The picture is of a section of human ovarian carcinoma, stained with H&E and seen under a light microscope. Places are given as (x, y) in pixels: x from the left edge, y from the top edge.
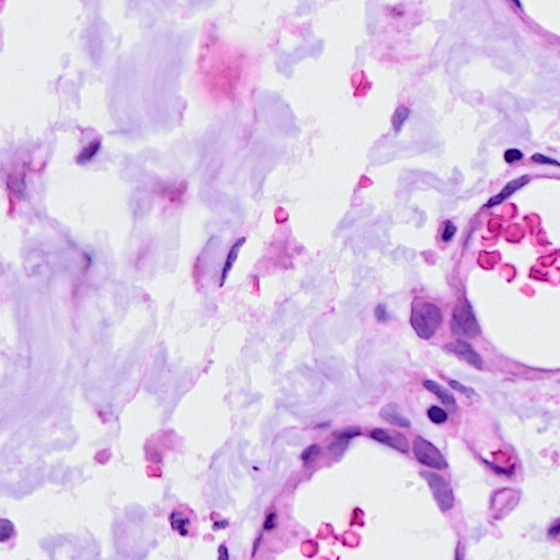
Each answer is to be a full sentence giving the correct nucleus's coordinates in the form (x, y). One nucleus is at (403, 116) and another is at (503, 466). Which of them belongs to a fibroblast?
The nucleus found at (403, 116) belongs to a fibroblast.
